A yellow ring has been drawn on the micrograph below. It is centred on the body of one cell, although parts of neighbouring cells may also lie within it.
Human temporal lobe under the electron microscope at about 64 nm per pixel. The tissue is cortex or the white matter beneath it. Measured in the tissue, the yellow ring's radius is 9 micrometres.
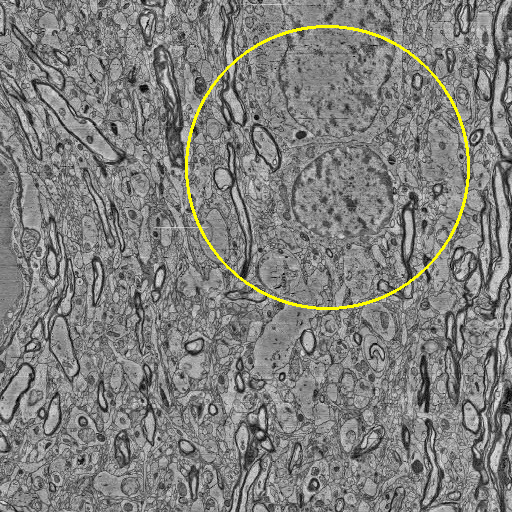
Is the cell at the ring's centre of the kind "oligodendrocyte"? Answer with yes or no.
yes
